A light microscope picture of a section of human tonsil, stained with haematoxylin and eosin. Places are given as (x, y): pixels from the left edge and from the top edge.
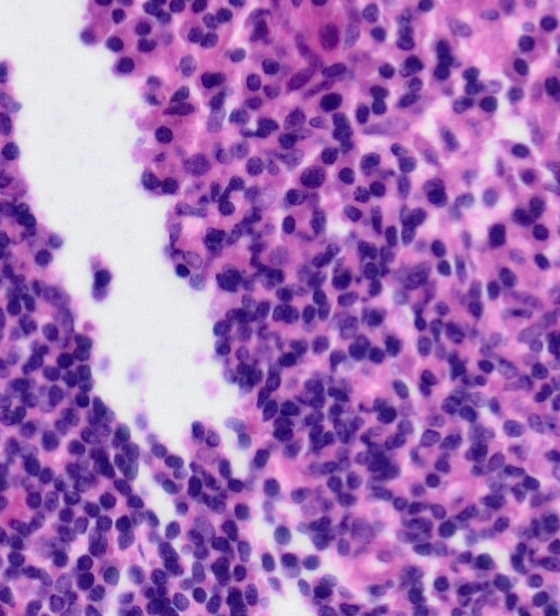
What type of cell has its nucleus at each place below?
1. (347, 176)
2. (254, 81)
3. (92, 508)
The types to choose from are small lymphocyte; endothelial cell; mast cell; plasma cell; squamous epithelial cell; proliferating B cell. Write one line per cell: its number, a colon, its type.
1: plasma cell
2: plasma cell
3: small lymphocyte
